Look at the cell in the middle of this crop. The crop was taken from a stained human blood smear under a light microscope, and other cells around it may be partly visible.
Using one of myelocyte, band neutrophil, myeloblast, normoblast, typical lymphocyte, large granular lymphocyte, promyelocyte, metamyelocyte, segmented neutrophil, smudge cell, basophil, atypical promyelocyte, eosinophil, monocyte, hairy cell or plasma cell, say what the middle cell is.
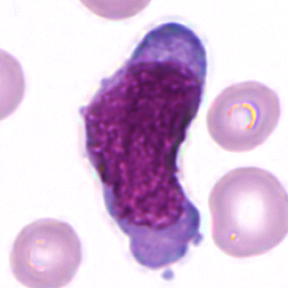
atypical promyelocyte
